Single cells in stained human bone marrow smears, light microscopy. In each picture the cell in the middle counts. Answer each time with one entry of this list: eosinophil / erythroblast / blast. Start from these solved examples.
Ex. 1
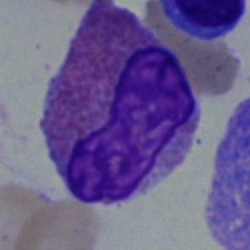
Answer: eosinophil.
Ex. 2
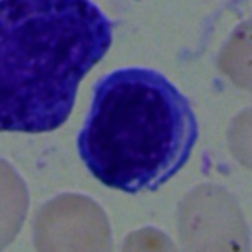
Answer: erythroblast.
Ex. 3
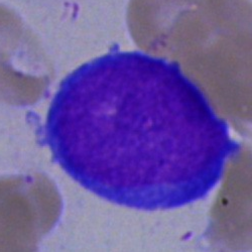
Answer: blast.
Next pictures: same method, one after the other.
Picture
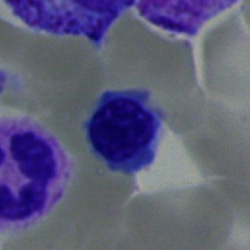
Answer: erythroblast.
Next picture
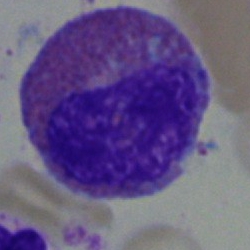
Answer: eosinophil.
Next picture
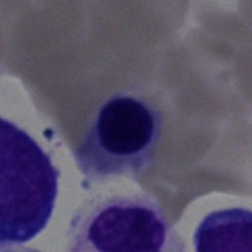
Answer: erythroblast.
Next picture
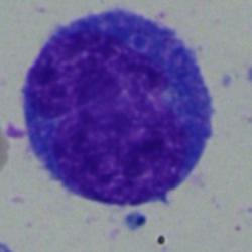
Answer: blast.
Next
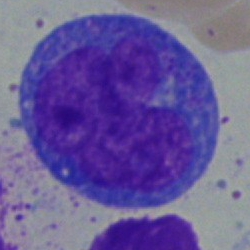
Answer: blast.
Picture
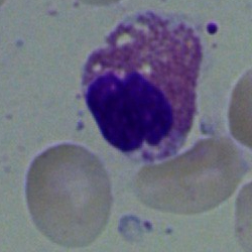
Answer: eosinophil.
